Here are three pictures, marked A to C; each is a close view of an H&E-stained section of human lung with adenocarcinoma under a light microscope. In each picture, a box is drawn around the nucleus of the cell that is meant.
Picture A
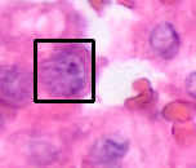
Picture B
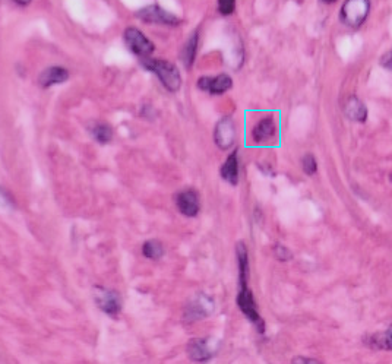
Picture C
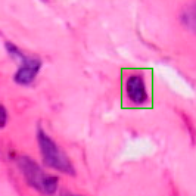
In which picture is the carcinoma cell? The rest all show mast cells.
A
